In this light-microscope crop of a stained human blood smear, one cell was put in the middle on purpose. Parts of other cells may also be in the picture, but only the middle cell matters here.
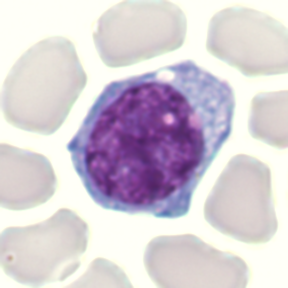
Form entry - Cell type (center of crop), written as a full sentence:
What sits at the centre of this crop is a plasma cell.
